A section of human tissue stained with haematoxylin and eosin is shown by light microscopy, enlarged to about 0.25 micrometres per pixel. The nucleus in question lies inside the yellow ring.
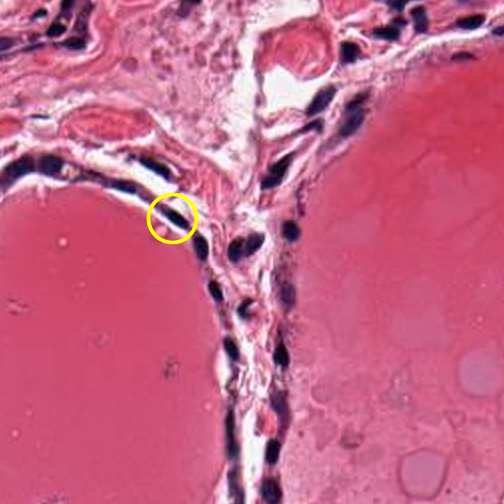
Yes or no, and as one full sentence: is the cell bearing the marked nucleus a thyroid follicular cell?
Yes, the marked nucleus is one belonging to a thyroid follicular cell.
